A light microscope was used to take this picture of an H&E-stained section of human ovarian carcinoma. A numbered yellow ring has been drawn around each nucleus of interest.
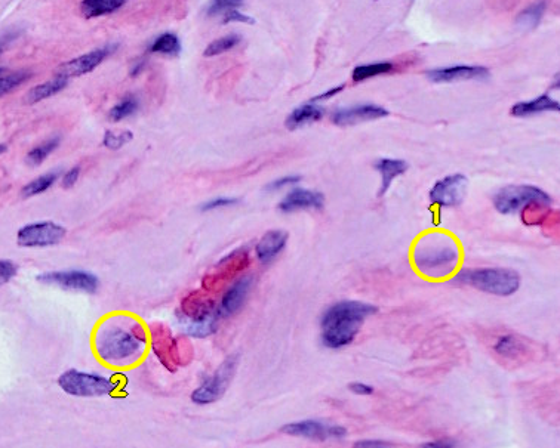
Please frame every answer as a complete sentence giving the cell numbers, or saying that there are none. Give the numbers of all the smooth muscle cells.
The cell labelled 1 is a smooth muscle cell, while the remaining numbered cells are not.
